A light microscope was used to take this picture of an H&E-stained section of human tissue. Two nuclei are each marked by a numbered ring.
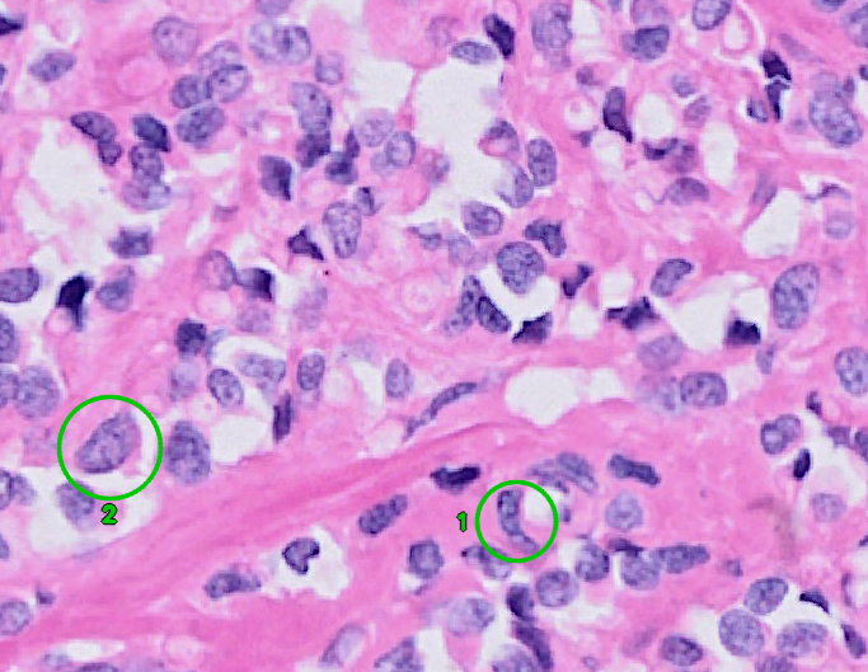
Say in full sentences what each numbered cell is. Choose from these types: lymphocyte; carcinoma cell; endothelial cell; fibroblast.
Cell 1 is an endothelial cell. Cell 2 is a carcinoma cell.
